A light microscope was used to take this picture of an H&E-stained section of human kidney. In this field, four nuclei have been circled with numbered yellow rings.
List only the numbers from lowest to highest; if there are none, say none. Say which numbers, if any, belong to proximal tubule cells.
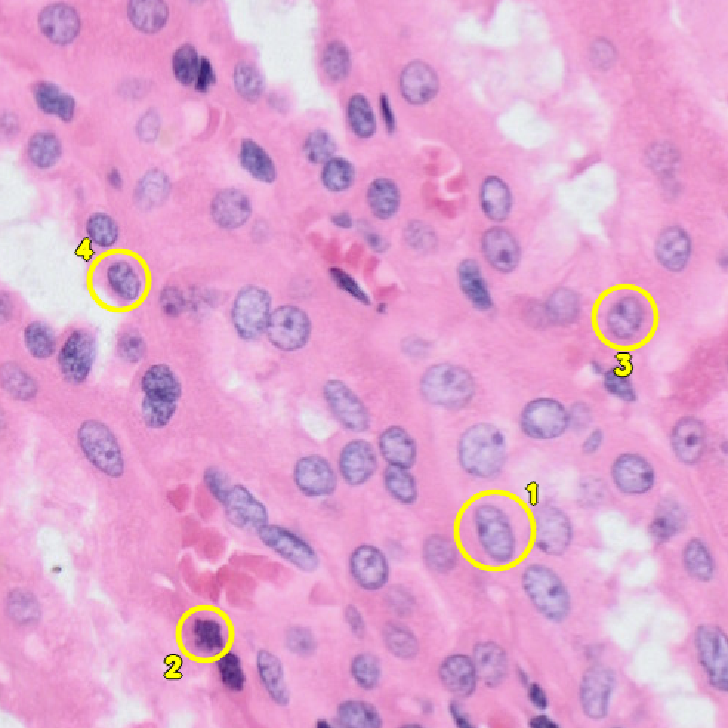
1, 2, 3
